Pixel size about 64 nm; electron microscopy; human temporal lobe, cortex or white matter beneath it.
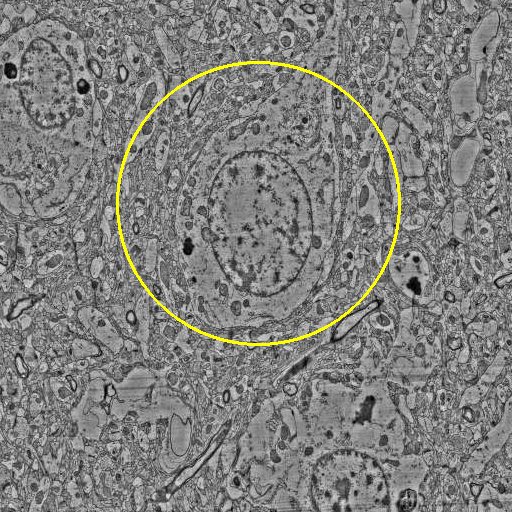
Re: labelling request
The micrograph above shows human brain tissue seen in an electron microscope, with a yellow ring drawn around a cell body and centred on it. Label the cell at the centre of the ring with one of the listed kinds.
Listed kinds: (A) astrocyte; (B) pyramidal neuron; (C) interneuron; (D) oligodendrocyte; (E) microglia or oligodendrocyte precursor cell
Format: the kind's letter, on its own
B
